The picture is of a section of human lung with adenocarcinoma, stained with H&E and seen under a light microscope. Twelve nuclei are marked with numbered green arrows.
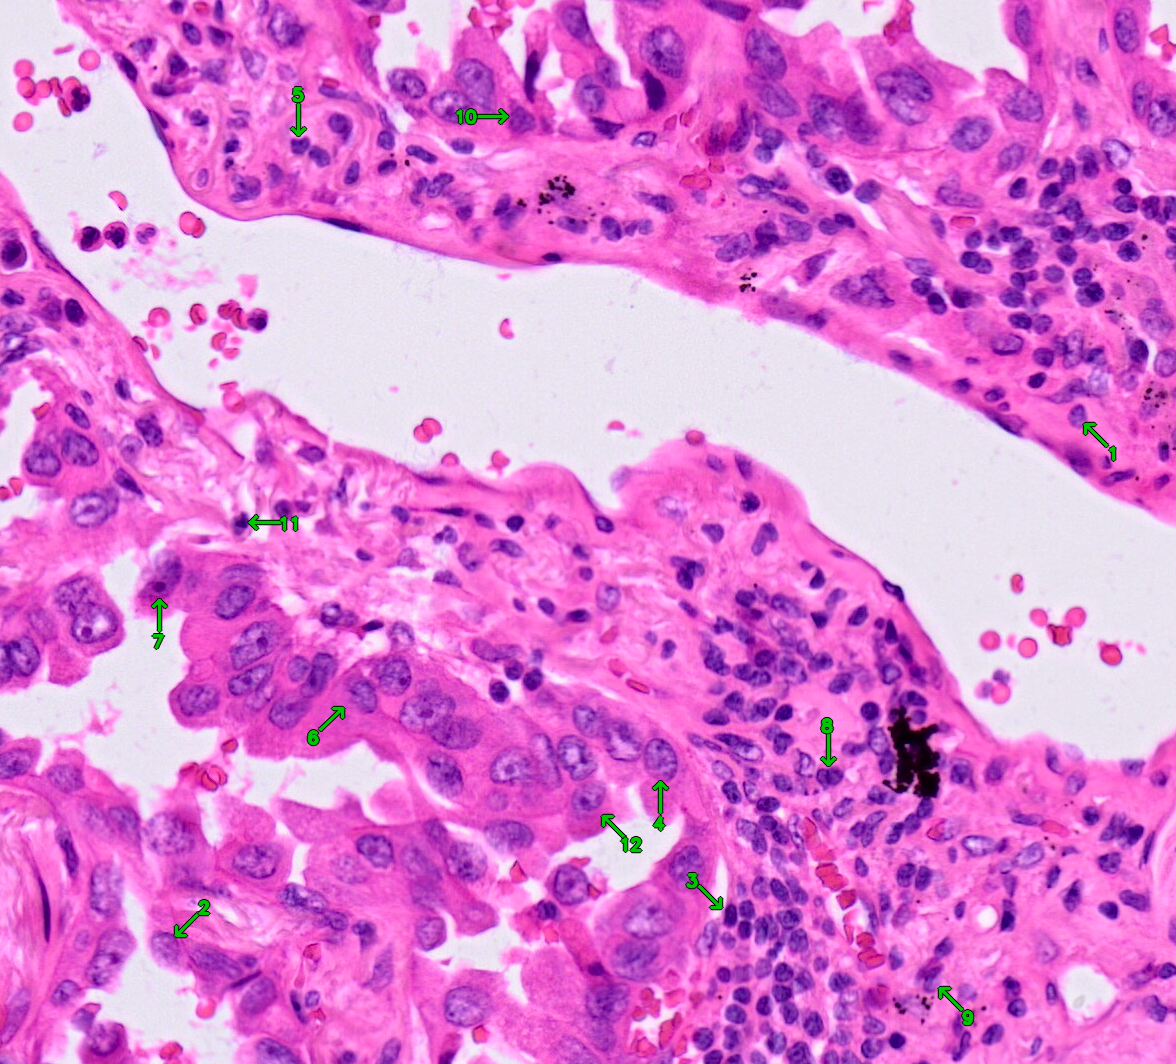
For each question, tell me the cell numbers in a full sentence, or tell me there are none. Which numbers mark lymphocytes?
Cells 3, 5, 8 and 11 are lymphocytes by cell type.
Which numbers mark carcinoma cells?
In short, the numbered cells 2, 4, 6, 7, 10 and 12 are carcinoma cells.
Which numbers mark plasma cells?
Only number 9 is a plasma cell; none of the others are.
